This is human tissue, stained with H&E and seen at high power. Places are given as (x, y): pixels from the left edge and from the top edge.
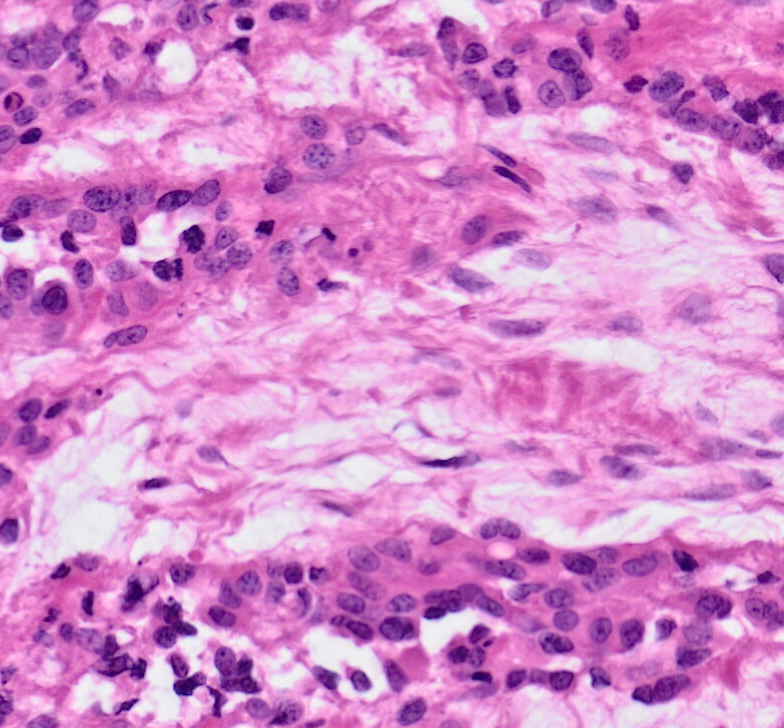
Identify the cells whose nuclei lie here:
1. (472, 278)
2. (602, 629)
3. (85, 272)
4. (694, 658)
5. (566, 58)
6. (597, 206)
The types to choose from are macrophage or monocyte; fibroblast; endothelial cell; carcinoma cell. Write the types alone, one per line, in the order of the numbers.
fibroblast
carcinoma cell
macrophage or monocyte
carcinoma cell
carcinoma cell
fibroblast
